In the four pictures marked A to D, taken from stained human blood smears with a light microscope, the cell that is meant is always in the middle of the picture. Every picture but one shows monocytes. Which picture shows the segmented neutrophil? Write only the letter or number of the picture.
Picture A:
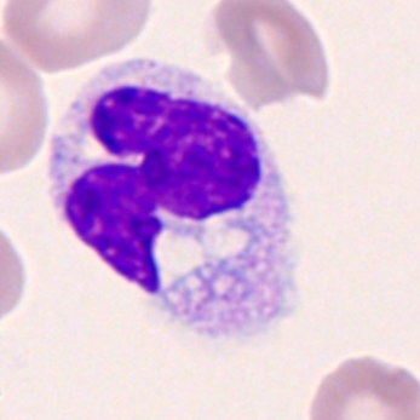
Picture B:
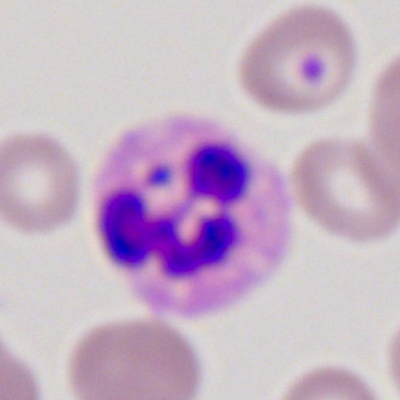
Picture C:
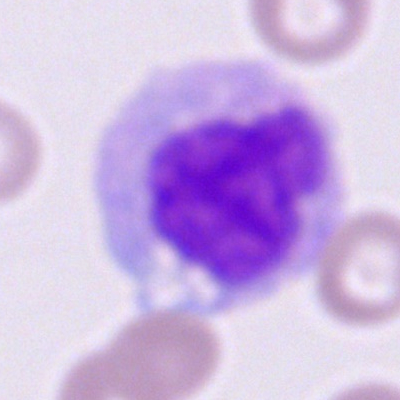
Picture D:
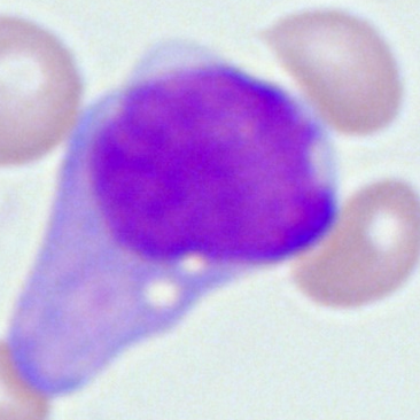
B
